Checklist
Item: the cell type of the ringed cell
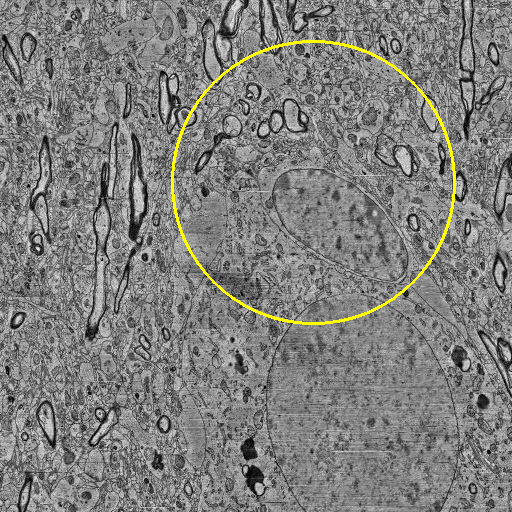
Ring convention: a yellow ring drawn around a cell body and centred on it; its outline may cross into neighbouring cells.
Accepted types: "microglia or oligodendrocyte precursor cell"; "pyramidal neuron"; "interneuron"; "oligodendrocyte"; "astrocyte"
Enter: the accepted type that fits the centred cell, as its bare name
microglia or oligodendrocyte precursor cell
